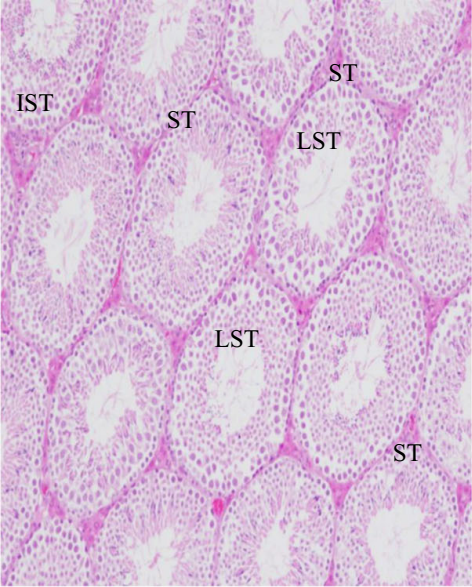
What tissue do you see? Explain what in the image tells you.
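Many round tubule cross sections packed side by side. Each tubule has a thick multilayered epithelium around a central lumen. Fine wispy tails fill the lumina. Small pink triangular spaces lie between the tubules.
Testes.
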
